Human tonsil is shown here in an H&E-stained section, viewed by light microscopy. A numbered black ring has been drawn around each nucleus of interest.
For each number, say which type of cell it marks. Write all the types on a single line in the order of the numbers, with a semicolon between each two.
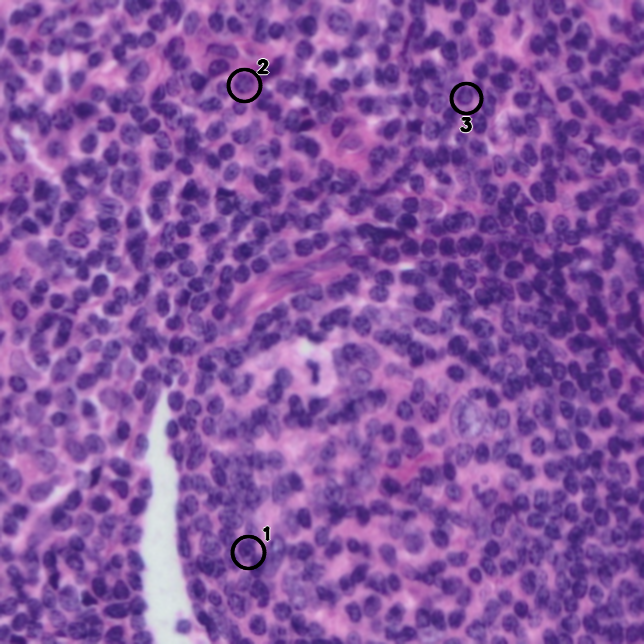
small lymphocyte; plasma cell; small lymphocyte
